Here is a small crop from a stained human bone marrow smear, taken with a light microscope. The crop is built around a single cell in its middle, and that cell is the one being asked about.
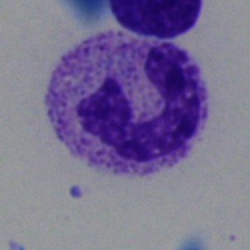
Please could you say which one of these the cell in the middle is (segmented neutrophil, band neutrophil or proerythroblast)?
segmented neutrophil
